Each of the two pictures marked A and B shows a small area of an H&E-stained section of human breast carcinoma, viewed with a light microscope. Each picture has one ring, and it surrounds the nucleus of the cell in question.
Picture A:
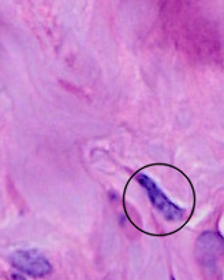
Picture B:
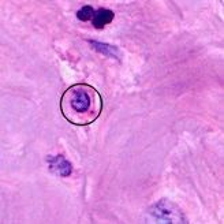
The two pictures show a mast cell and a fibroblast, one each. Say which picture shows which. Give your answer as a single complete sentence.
In picture A the cell is a fibroblast; in picture B, a mast cell.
